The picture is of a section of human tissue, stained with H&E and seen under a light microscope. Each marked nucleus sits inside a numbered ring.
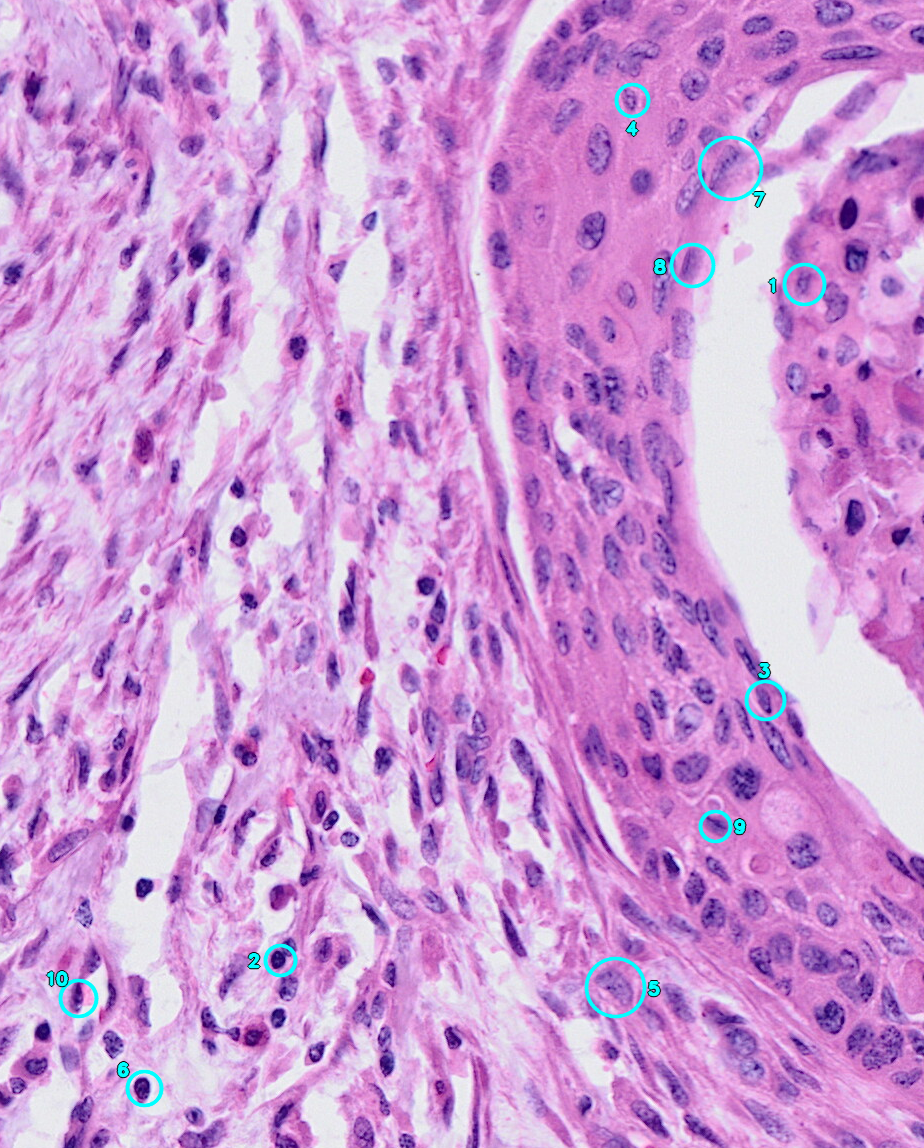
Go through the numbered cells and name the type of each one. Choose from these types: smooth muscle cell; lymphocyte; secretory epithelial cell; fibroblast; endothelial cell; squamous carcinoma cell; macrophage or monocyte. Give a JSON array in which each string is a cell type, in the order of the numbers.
["squamous carcinoma cell", "lymphocyte", "squamous carcinoma cell", "squamous carcinoma cell", "endothelial cell", "lymphocyte", "squamous carcinoma cell", "squamous carcinoma cell", "squamous carcinoma cell", "endothelial cell"]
